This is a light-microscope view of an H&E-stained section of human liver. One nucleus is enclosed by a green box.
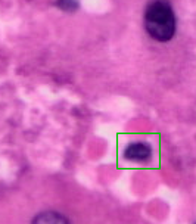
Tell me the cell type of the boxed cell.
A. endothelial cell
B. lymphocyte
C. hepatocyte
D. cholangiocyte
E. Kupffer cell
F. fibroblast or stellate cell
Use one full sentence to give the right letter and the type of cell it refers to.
Option B matches the boxed cell, which is a lymphocyte.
